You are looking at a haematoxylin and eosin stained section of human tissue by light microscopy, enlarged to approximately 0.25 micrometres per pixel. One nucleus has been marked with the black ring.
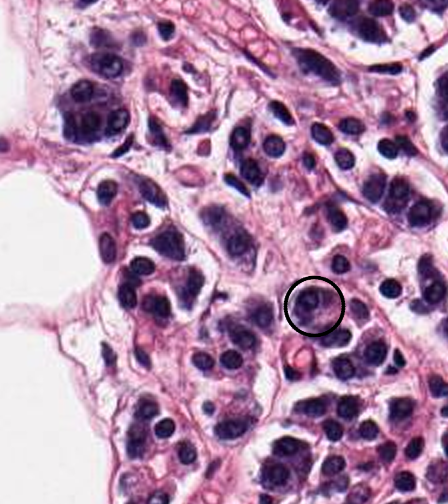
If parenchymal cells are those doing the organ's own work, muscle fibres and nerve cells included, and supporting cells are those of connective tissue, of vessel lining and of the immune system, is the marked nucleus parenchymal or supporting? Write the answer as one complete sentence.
The marked nucleus is part of the parenchyma, belonging to a pancreatic acinar cell.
